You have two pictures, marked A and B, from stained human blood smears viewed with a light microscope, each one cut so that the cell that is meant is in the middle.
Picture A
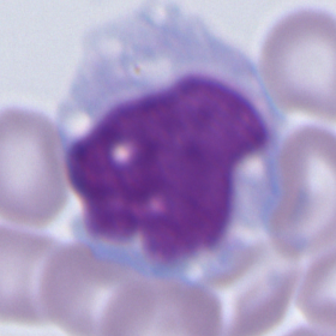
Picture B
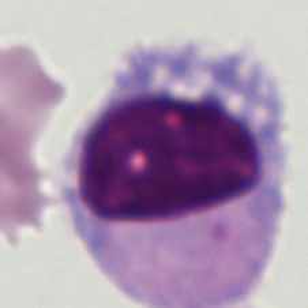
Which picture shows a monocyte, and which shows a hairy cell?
A: monocyte
B: hairy cell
